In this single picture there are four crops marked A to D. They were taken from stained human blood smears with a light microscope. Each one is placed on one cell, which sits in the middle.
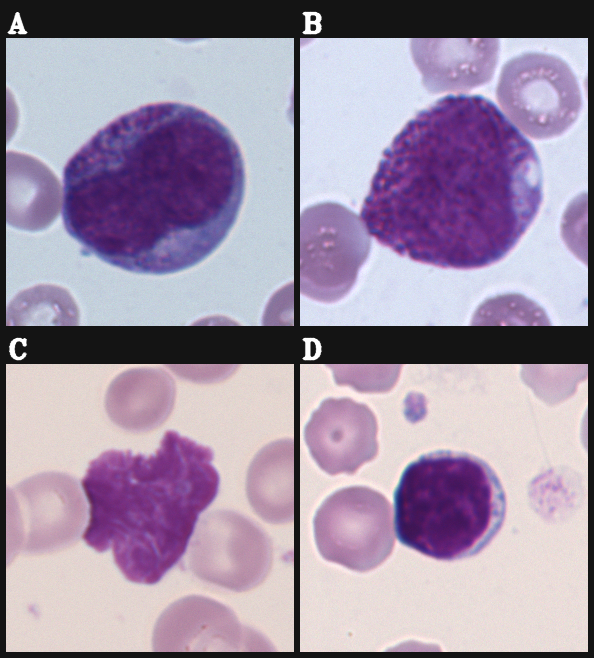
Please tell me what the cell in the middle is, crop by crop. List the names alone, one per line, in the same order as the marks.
promyelocyte
promyelocyte
smudge cell
typical lymphocyte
